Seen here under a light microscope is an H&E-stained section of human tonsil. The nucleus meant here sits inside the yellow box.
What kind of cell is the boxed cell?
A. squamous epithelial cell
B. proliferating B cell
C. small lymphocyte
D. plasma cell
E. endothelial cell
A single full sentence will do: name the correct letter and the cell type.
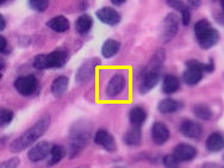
Option E gets it right: the boxed cell is an endothelial cell.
